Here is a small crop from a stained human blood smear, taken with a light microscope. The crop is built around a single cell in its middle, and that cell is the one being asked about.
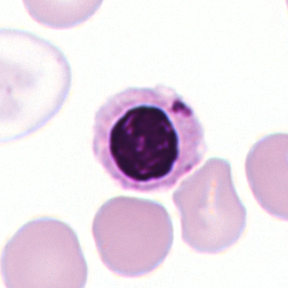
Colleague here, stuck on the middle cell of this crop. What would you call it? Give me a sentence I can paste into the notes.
In this smear crop, the middle cell is a normoblast.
